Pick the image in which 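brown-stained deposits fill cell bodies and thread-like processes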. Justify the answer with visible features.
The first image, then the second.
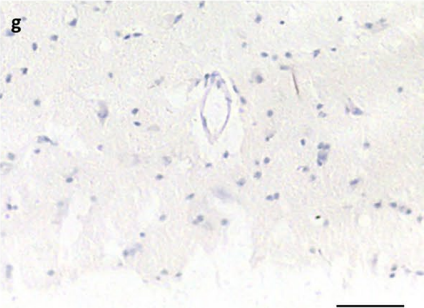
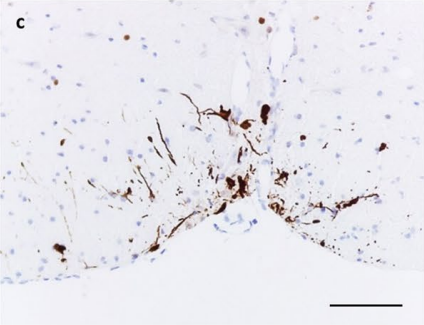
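First image: pale tissue with scattered blue nuclei and no brown deposits. Second image: many dark brown rounded bodies and thick, twisted brown threads, densest near the notch in the lower edge.
Answer: the second image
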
